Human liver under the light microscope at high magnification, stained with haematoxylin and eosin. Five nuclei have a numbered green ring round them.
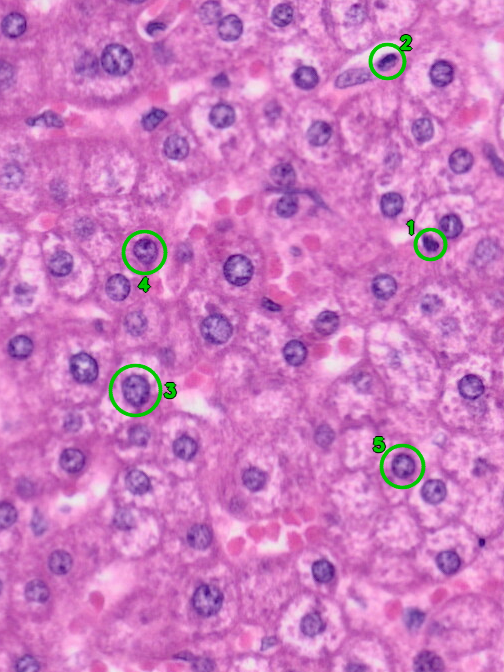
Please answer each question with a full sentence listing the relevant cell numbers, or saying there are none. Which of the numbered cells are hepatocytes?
Cells numbered 3, 4 and 5 belong to the group of hepatocytes.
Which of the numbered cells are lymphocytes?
Of those with numbers, only cell 2 is a lymphocyte.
